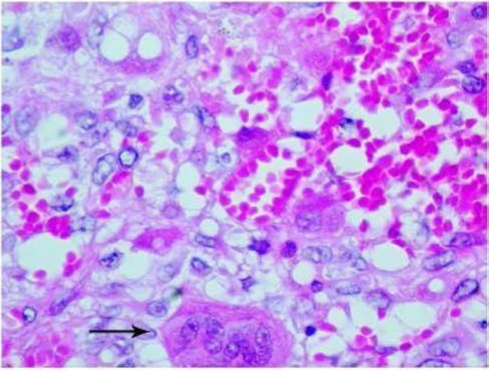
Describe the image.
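Among many round to oval cells with pale nuclei and distinct nuclear outlines lies one very large cell with abundant pink cytoplasm and a cluster of many similar nuclei, next to an area crowded with red blood cells. The pale nuclei are vesicular nuclei of the tumor cells, and the large many-nucleated cell is an osteoclast-like giant cell whose nuclei resemble those of the surrounding cells.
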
